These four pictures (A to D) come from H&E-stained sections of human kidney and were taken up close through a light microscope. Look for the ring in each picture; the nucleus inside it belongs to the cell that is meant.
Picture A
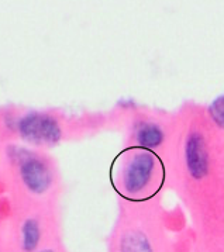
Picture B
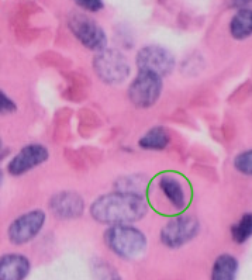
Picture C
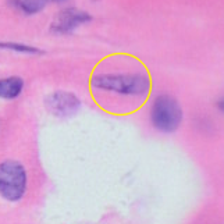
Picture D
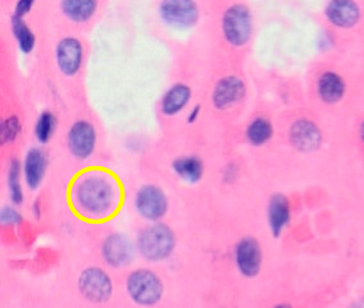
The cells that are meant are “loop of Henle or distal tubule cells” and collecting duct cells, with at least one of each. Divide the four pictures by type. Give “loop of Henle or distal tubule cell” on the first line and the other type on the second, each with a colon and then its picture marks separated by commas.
loop of Henle or distal tubule cell: D
collecting duct cell: A, B, C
